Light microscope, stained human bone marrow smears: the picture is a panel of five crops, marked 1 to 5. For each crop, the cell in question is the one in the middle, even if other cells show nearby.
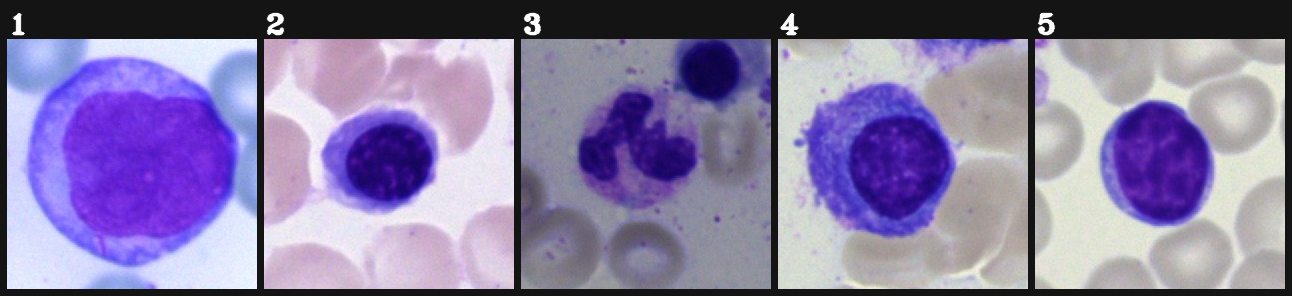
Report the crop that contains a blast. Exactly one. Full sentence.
Of all the crops, crop 1 is the one showing a blast.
